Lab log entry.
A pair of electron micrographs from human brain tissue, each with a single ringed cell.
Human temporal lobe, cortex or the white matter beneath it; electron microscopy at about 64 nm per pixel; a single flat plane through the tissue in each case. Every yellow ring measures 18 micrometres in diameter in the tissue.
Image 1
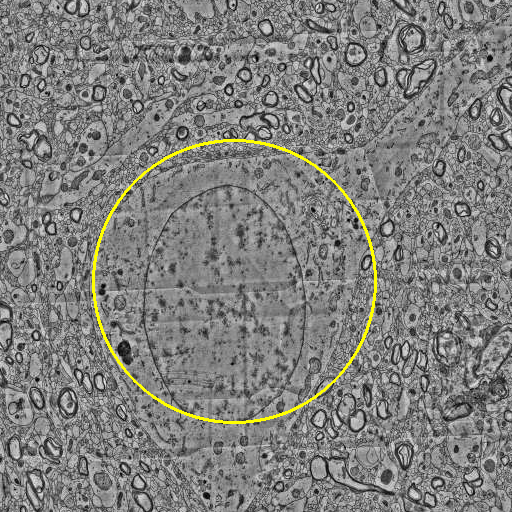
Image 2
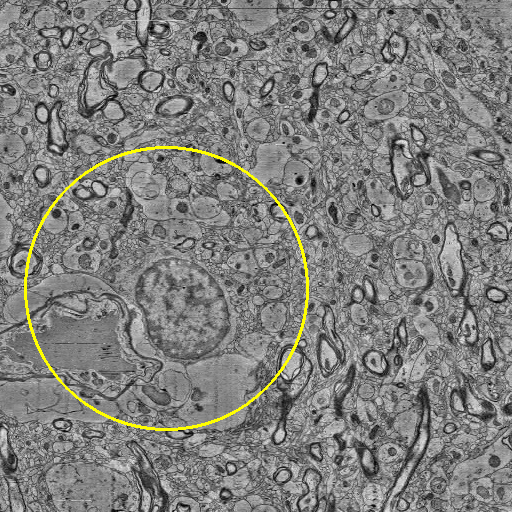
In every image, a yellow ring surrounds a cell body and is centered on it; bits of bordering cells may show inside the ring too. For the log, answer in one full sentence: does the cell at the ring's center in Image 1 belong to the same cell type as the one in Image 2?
No, the cells at the ring centers in Image 1 and Image 2 are of separate types.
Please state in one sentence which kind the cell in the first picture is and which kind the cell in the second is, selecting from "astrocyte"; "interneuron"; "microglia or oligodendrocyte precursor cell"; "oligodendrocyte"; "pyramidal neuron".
The first ringed cell is a pyramidal neuron, the second ringed cell an oligodendrocyte.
